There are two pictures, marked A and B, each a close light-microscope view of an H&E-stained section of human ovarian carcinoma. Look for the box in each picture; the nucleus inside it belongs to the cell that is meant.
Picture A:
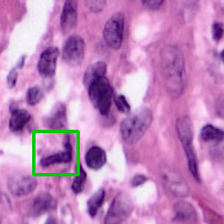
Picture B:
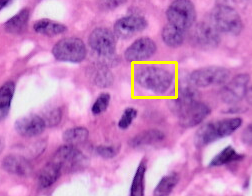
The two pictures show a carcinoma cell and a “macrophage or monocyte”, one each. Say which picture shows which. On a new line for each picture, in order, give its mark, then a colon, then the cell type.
A: macrophage or monocyte
B: carcinoma cell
